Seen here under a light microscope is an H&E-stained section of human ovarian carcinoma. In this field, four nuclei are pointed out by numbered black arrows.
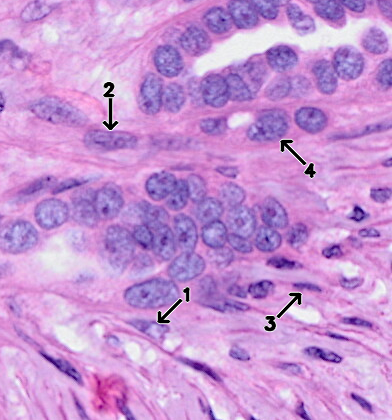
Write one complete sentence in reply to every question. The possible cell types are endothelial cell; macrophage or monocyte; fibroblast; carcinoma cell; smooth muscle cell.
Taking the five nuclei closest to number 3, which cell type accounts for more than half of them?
Macrophages or monocytes account for more than half of the five nuclei nearest to number 3.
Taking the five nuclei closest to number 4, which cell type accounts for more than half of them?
Most of the five nuclei nearest to number 4 are those of carcinoma cells.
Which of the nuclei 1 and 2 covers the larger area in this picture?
Number 2 is larger; its area is about 2 times that of number 1.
